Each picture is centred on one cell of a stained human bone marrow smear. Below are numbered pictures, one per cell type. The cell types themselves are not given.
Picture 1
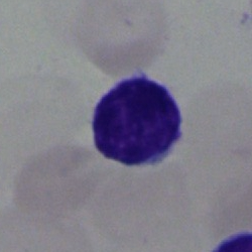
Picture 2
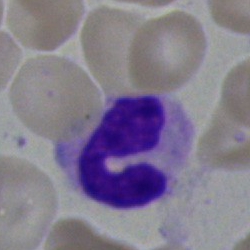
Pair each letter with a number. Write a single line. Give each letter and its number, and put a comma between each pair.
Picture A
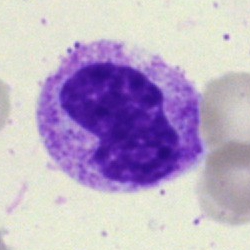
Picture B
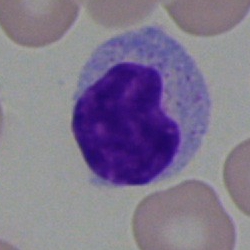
A 2, B 1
